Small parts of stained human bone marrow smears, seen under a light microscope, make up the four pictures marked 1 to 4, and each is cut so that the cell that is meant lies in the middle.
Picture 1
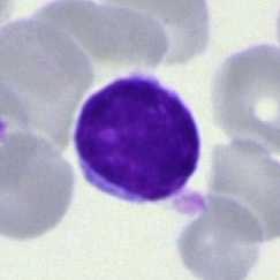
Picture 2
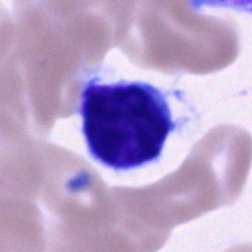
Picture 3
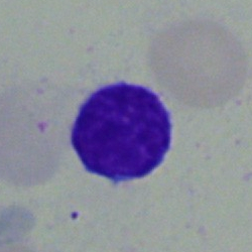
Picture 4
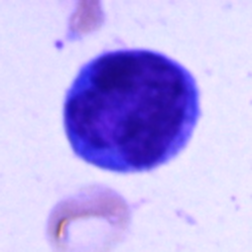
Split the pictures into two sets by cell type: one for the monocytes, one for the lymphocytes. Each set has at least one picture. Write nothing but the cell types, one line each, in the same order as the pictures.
lymphocyte
lymphocyte
lymphocyte
monocyte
